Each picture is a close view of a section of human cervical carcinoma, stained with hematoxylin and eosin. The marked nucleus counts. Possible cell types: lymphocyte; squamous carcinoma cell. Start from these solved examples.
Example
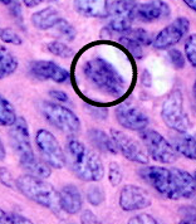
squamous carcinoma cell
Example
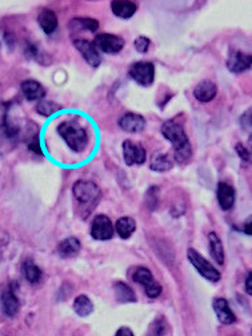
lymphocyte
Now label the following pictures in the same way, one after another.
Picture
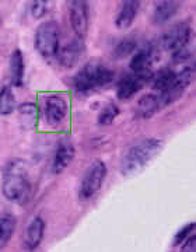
squamous carcinoma cell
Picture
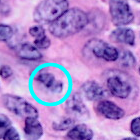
lymphocyte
